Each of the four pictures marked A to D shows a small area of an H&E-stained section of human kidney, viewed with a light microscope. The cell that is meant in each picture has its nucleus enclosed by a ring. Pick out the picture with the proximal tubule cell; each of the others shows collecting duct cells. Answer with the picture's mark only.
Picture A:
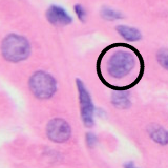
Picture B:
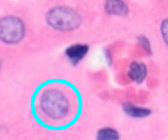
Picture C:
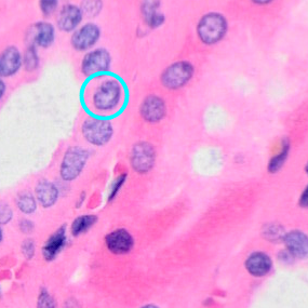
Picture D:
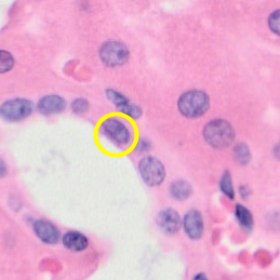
B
